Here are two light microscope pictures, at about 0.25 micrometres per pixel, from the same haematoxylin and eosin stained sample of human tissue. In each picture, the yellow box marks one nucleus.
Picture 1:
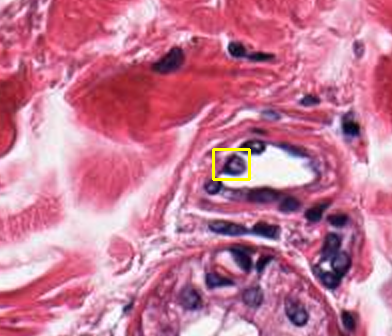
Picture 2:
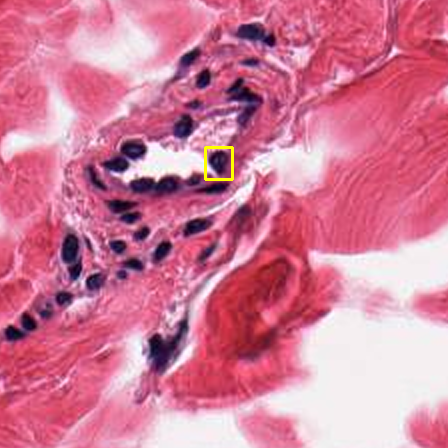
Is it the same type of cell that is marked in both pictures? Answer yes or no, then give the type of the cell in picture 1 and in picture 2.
Yes, both are endothelial cells.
